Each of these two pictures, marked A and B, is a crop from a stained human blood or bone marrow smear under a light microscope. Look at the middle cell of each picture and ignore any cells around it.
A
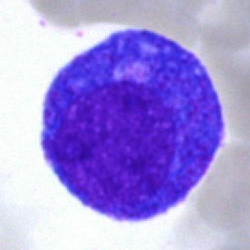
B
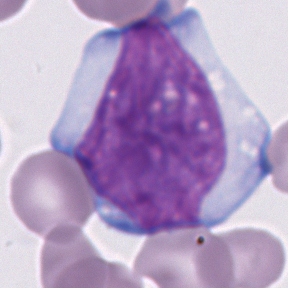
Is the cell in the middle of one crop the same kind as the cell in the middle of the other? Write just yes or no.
no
